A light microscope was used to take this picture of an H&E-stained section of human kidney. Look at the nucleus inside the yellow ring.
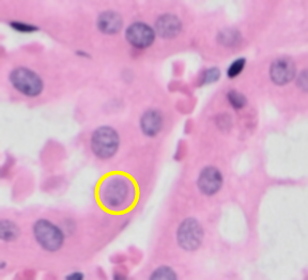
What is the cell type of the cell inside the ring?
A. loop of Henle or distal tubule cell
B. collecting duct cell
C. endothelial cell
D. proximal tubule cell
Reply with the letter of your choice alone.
D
